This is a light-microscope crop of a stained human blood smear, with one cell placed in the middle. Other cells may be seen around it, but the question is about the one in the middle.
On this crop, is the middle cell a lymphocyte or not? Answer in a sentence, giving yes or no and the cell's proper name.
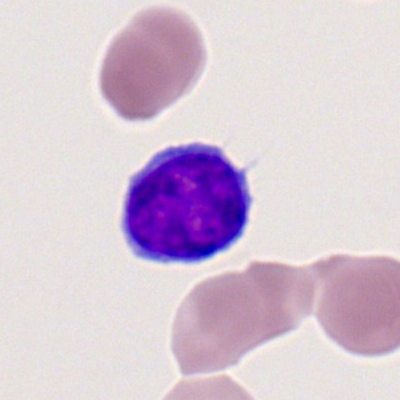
Yes, the centrally placed cell is a lymphocyte.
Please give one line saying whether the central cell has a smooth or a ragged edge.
The cell membrane follows an uneven contour, either ragged or bearing projections.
